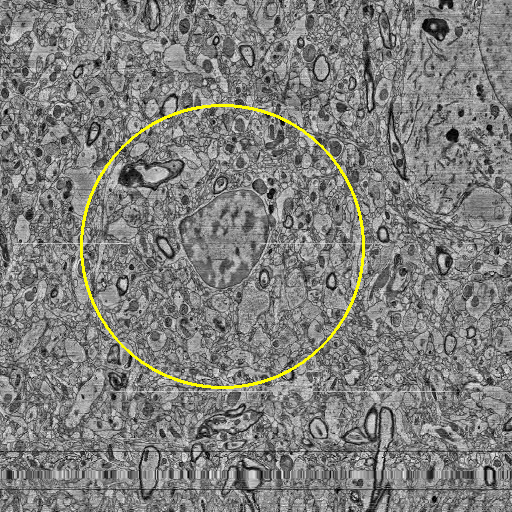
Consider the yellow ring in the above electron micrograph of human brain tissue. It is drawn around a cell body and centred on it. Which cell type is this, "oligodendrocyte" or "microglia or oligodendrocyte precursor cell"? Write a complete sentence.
The cell in question is a microglial cell or oligodendrocyte precursor cell.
